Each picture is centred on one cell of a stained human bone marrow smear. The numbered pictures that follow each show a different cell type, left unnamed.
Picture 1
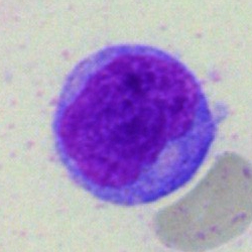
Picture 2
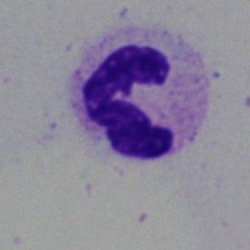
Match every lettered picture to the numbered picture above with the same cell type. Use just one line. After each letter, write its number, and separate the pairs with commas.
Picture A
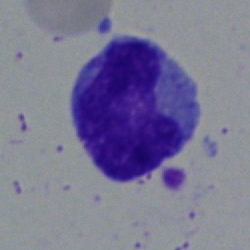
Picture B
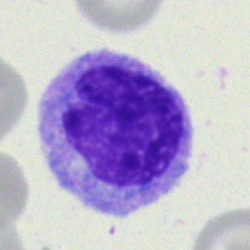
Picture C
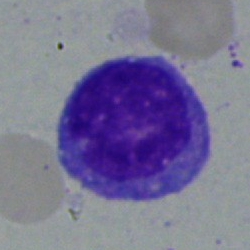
A 1, B 1, C 1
